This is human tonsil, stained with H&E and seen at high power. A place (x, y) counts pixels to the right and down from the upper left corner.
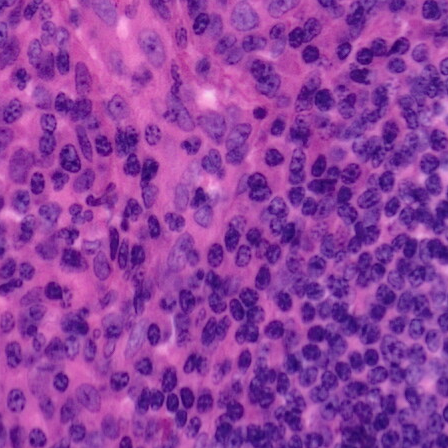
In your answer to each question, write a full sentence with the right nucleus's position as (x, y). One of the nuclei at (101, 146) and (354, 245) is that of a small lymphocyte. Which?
The pair contains one nucleus of a small lymphocyte, namely the one at (354, 245).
